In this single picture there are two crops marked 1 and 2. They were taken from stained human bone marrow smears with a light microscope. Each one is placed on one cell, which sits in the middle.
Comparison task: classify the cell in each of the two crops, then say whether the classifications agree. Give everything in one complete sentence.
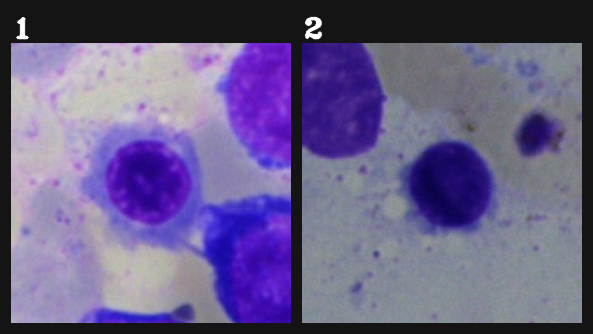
No, the cell in crop 1 is a normoblast and the one in crop 2 is a lymphocyte.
